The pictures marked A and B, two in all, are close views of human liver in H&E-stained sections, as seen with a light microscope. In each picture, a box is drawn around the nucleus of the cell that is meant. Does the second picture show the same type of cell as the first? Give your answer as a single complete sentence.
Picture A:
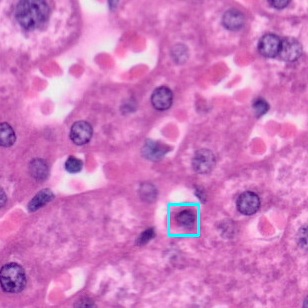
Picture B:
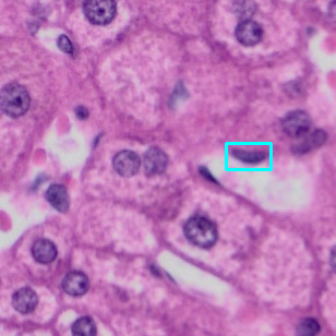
No, picture A shows a Kupffer cell and picture B shows a “fibroblast or stellate cell”.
